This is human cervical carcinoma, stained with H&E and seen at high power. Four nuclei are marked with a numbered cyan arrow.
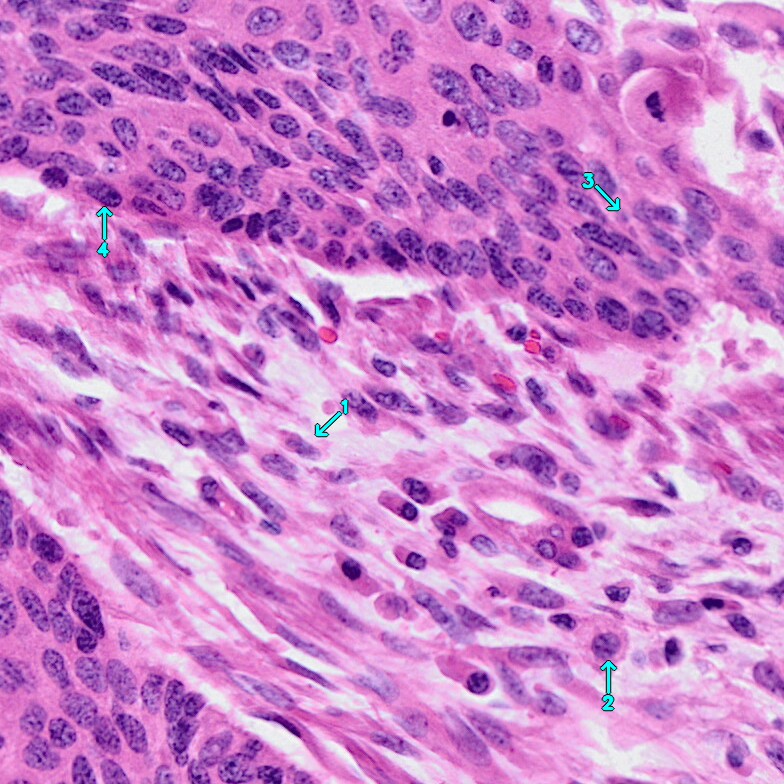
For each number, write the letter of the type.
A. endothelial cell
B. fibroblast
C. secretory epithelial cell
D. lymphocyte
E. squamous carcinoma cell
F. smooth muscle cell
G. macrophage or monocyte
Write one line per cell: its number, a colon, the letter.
1: B
2: G
3: E
4: E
